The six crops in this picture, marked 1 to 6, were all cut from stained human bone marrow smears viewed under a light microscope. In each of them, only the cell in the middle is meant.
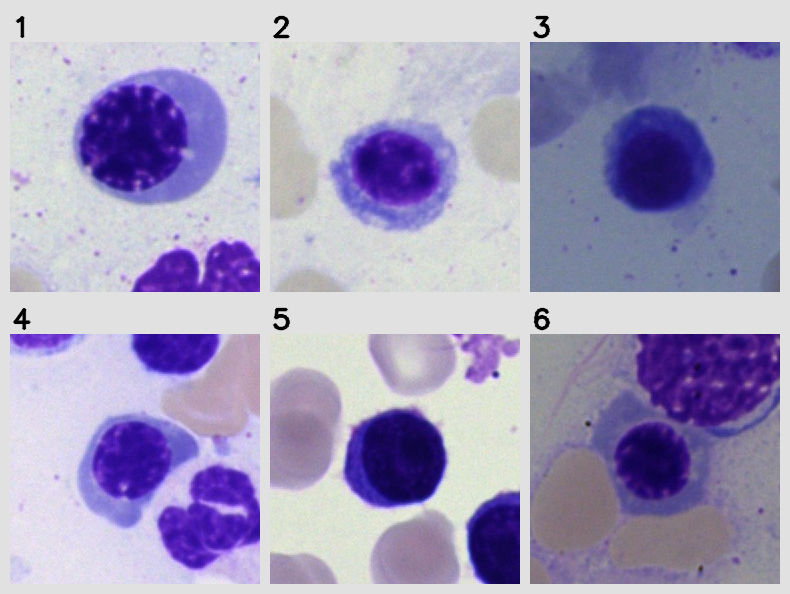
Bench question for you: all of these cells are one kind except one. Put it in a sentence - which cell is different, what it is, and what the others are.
What sets crop 5 apart is that it shows a lymphocyte, while the others show erythroblasts.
